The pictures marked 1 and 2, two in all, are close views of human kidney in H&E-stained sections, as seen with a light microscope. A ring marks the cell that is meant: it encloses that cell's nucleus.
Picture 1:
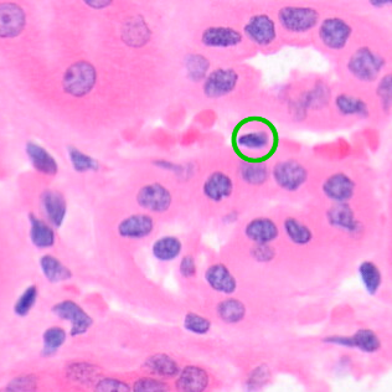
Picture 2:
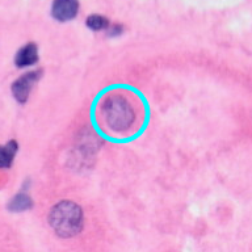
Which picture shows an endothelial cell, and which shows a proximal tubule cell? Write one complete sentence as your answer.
Picture 2 shows a proximal tubule cell, while picture 1 shows an endothelial cell.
